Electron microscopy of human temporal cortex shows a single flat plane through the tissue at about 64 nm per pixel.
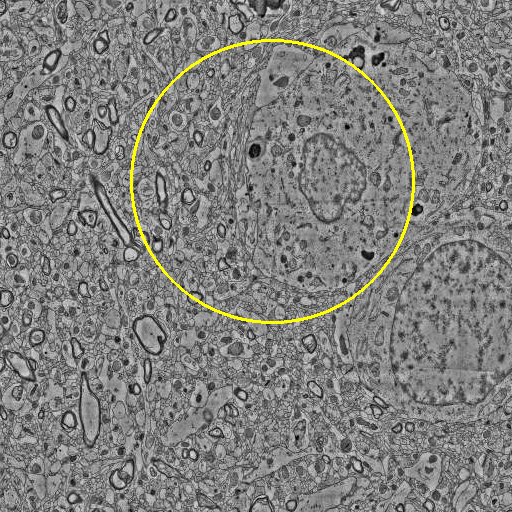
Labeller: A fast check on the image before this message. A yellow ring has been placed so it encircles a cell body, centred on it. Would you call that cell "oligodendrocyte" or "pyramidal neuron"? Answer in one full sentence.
In this image, an oligodendrocyte is the cell on which the yellow ring is centred.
